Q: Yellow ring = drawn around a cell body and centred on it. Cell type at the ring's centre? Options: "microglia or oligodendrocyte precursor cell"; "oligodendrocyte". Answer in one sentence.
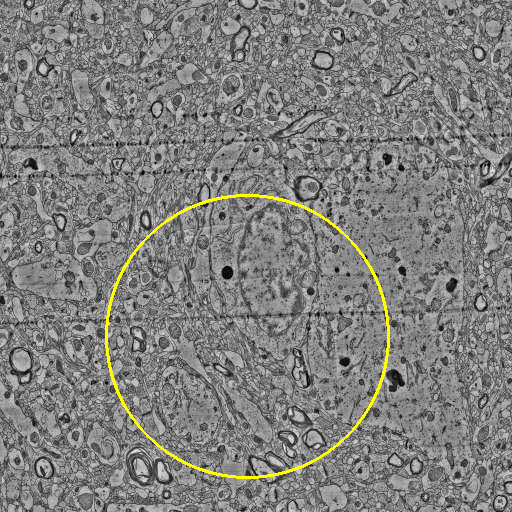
Centred in the ring is a microglial cell or oligodendrocyte precursor cell.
